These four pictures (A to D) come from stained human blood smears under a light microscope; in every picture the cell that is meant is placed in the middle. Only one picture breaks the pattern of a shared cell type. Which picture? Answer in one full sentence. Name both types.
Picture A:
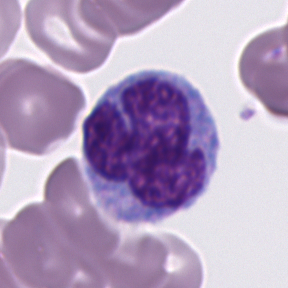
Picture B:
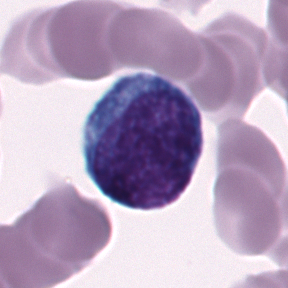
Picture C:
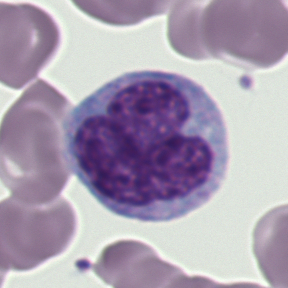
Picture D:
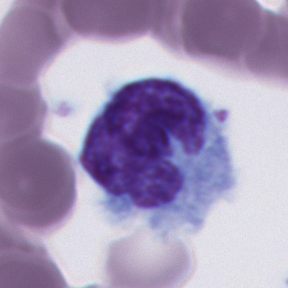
The different one is picture B; it shows a typical lymphocyte, whereas all the others show monocytes.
